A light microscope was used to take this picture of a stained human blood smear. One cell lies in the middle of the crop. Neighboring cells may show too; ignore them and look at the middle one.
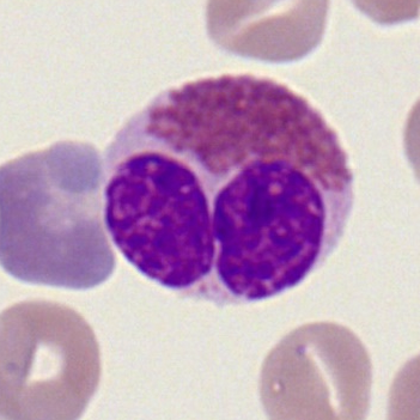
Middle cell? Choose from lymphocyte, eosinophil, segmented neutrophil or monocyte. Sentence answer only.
Here the centrally located cell is an eosinophil.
